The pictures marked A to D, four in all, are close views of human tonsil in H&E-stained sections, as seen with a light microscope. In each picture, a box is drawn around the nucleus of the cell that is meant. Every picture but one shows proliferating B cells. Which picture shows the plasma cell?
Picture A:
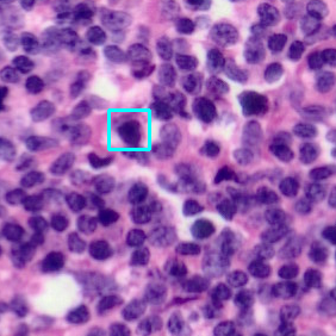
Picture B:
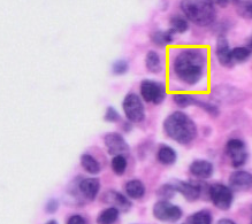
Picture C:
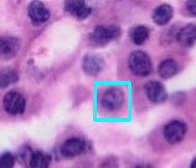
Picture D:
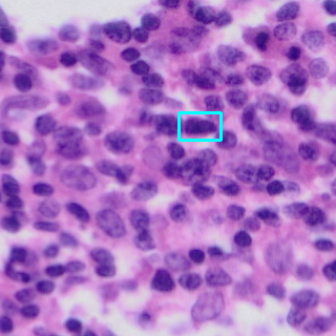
C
